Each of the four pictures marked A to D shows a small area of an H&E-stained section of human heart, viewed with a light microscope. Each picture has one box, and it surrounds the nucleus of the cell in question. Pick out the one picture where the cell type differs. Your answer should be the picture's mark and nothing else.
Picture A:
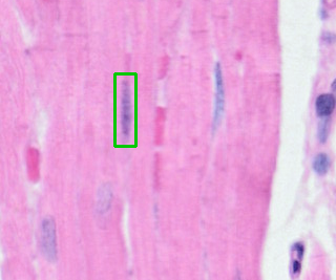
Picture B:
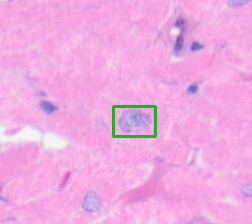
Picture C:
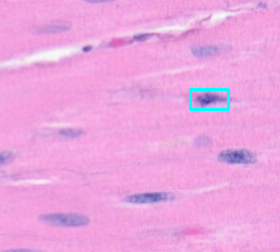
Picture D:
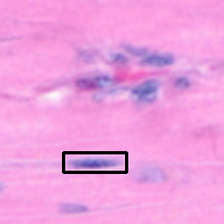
B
